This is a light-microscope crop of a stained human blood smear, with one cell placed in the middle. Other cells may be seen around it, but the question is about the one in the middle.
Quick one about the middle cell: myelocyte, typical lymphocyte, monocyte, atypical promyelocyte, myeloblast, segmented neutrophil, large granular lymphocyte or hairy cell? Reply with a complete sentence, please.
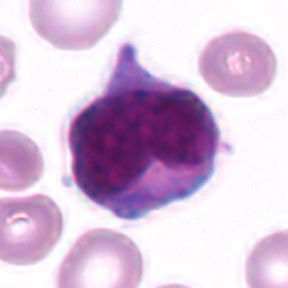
In short, the cell at the center is an atypical promyelocyte.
